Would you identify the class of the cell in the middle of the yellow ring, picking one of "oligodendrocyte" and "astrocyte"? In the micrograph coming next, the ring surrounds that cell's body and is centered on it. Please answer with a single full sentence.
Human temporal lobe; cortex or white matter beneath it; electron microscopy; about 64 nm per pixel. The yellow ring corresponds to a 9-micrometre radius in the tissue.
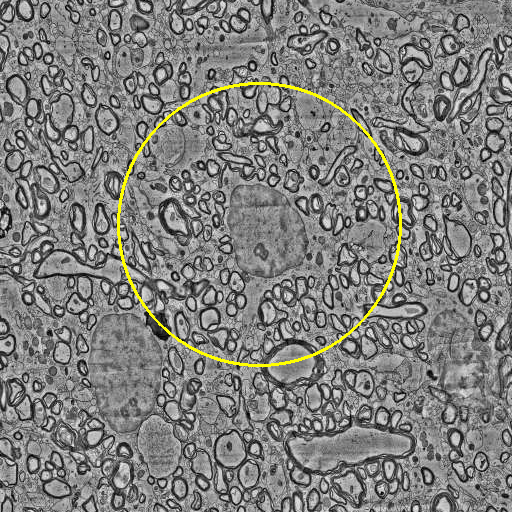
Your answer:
In the micrograph, it is an oligodendrocyte whose body lies at the ring's center.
